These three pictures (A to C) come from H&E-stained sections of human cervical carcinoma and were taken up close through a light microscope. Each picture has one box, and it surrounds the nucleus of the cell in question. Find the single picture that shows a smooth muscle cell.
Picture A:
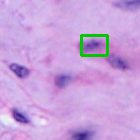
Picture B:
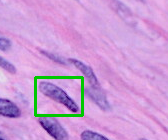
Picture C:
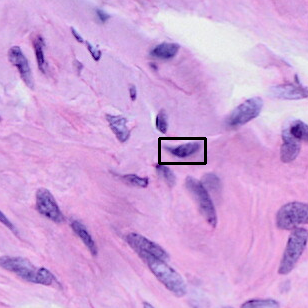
A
